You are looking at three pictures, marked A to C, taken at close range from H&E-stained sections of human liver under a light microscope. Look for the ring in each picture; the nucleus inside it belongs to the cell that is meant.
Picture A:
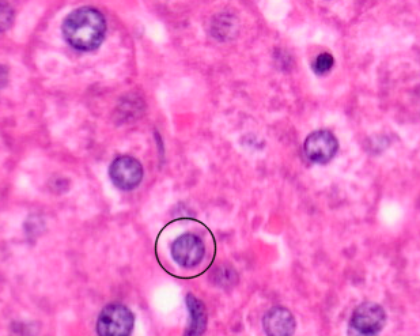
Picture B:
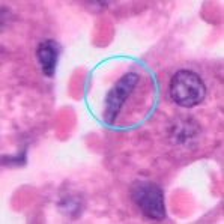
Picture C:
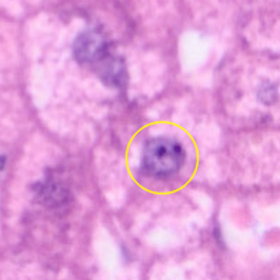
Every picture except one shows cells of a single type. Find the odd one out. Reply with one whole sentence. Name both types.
Unlike the rest, which show hepatocytes, picture B shows a Kupffer cell.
